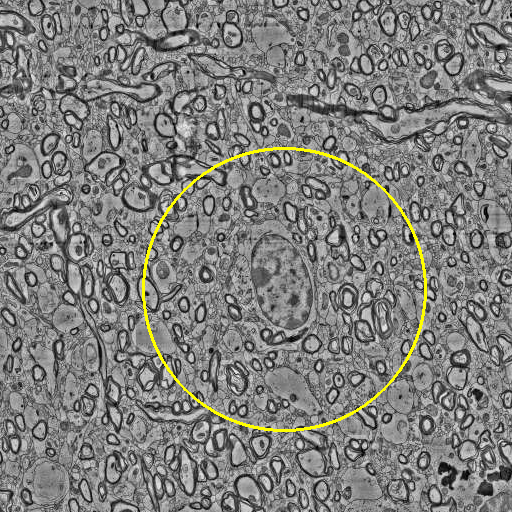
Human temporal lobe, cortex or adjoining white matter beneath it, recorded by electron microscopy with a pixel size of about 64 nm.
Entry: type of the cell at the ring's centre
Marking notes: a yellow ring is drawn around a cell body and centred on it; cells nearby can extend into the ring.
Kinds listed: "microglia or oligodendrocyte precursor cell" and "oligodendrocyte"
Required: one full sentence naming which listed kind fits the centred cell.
My entry names a microglial cell or oligodendrocyte precursor cell as the cell whose body the yellow ring centres on.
